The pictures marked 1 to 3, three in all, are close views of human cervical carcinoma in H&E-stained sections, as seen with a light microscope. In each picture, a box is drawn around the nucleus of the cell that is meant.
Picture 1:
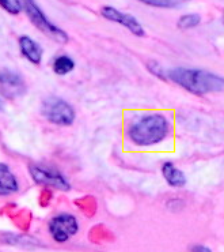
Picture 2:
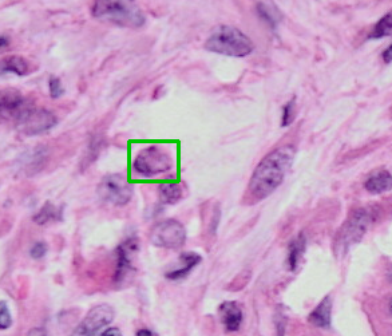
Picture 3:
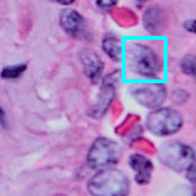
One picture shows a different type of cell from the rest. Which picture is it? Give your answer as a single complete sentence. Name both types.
The different one is picture 3; it shows an endothelial cell, whereas all the others show “macrophages or monocytes”.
